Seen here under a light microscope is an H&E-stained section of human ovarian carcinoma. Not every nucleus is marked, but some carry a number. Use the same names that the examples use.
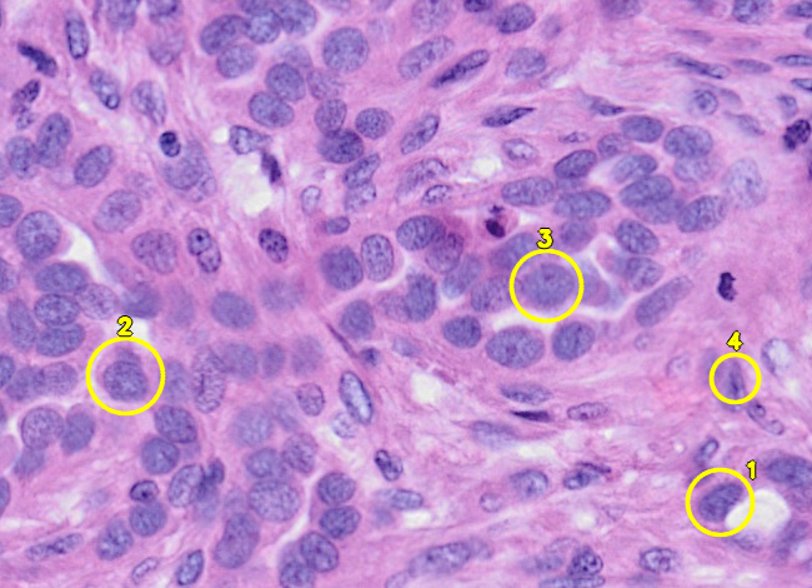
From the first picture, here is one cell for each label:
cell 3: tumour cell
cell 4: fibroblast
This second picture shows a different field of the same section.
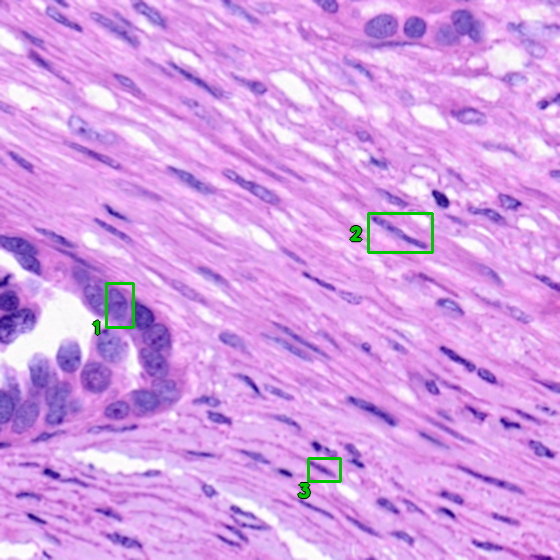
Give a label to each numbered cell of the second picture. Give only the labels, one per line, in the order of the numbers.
tumour cell
fibroblast
fibroblast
